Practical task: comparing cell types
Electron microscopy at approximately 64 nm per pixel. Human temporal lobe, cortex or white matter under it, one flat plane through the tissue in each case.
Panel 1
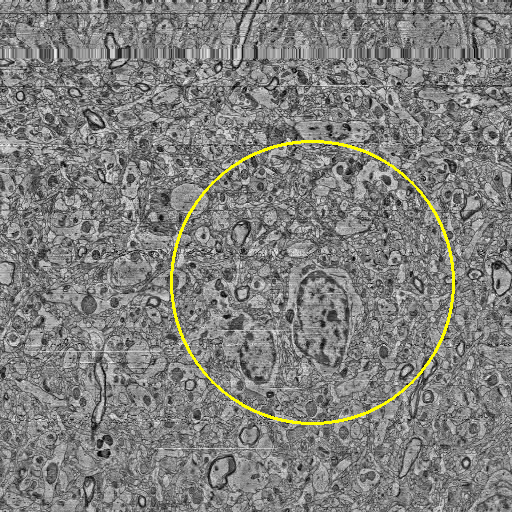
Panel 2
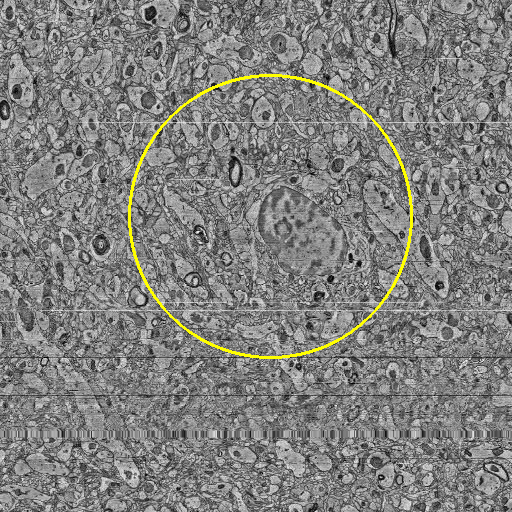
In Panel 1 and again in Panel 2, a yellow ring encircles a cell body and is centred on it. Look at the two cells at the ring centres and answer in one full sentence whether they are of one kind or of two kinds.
The two cells sitting at the ring centres of Panels 1 and 2 are of one kind.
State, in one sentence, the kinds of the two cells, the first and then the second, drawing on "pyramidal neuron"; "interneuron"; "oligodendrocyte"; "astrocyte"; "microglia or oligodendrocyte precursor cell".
In each picture the ringed cell is a microglial cell or oligodendrocyte precursor cell.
